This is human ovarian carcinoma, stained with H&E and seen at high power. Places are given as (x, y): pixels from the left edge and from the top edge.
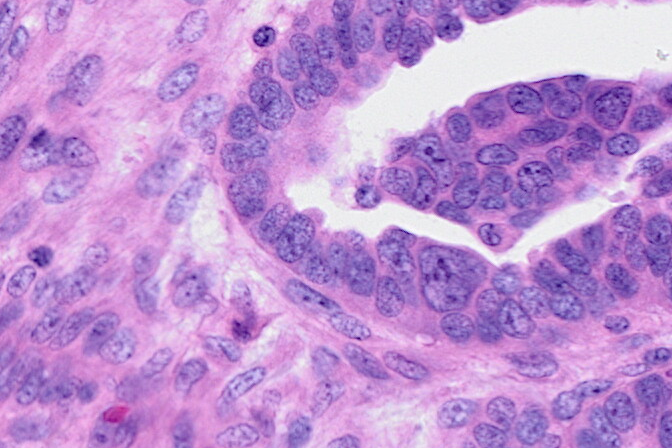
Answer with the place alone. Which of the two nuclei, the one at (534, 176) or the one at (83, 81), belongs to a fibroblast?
(83, 81)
